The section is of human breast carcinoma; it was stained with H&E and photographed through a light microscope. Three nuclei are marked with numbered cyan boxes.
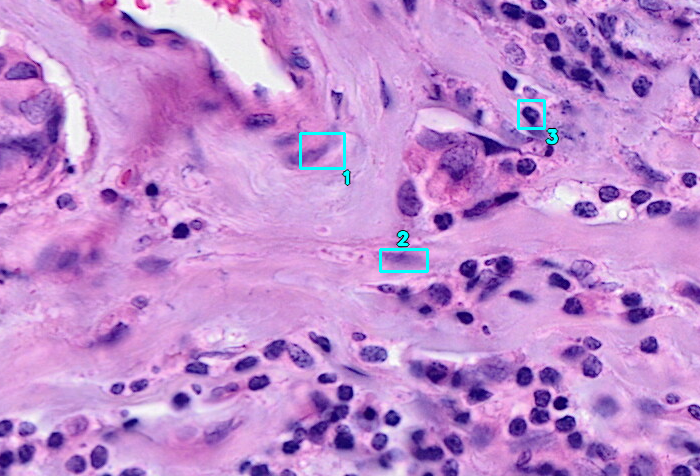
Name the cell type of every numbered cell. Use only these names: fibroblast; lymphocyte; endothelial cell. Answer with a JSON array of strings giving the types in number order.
["endothelial cell", "fibroblast", "lymphocyte"]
